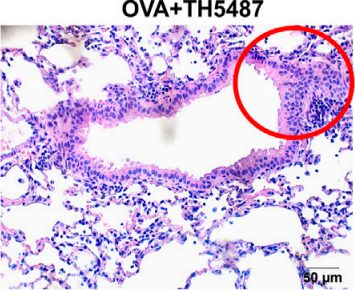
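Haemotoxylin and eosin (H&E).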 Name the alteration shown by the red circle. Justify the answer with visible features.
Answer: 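Inflammatory infiltrates. A packed cluster of small dark nuclei sits at one end of the airway wall inside the circle.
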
